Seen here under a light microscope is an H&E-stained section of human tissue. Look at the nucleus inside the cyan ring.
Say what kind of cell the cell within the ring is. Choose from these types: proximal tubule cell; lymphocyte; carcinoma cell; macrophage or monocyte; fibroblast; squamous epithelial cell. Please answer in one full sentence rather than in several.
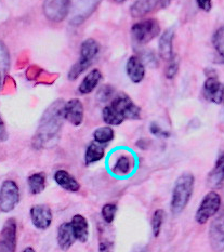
Speaking plainly, the cell within the ring is nothing other than a lymphocyte.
